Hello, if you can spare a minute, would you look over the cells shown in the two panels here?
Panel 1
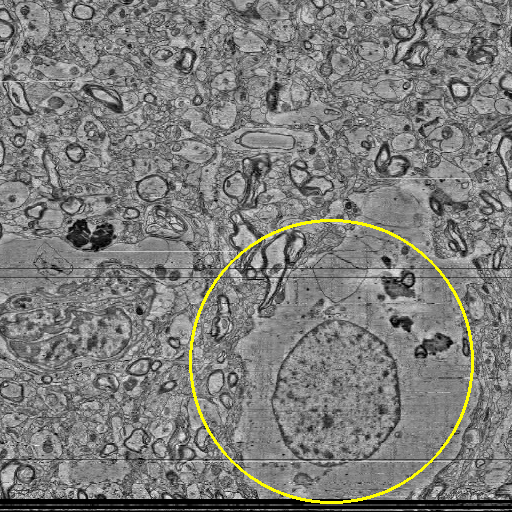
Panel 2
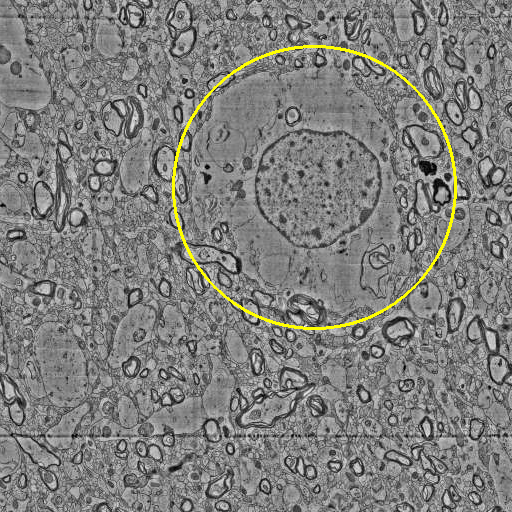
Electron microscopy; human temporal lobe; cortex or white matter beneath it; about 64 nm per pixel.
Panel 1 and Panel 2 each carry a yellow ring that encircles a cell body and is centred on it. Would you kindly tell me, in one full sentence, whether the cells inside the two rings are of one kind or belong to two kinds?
The cells at the centres of the rings in Panel 1 and Panel 2 are of one kind.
